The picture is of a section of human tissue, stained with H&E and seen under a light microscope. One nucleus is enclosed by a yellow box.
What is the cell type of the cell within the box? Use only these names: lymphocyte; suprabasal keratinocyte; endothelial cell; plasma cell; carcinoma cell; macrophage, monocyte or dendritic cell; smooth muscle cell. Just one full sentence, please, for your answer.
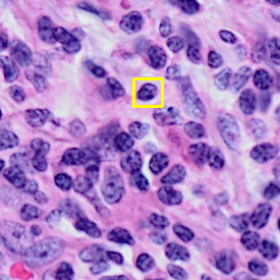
Right, so the cell within the box is a lymphocyte, to answer that.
